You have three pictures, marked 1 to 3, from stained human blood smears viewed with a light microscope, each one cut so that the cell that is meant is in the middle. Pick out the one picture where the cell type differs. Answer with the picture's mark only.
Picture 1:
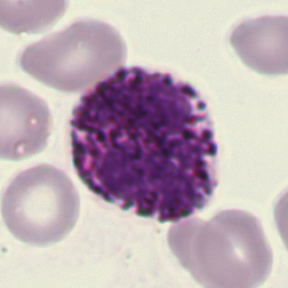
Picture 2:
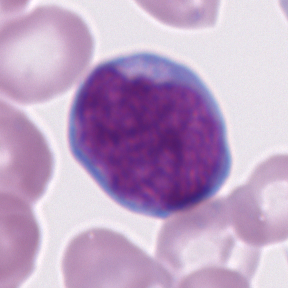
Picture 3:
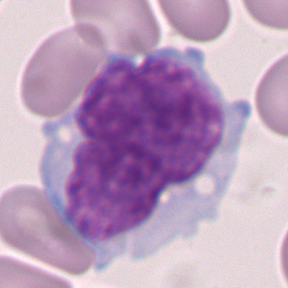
1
